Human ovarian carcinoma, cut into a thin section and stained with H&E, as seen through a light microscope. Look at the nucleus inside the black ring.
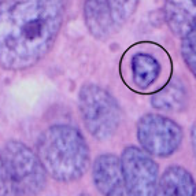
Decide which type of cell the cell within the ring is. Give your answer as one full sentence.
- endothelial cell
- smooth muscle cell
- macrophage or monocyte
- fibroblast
In this tissue section, the cell within the ring is to be classed as a macrophage or monocyte.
